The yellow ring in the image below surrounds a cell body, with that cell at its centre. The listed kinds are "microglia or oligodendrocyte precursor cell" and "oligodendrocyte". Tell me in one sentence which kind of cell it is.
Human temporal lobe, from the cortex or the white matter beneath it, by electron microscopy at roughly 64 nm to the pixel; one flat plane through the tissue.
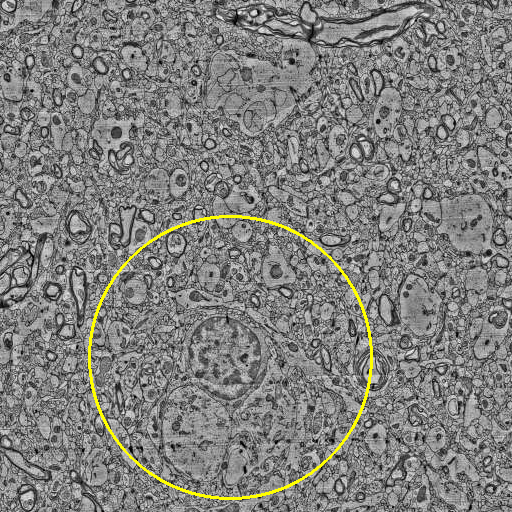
The centre of the ring holds an oligodendrocyte.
